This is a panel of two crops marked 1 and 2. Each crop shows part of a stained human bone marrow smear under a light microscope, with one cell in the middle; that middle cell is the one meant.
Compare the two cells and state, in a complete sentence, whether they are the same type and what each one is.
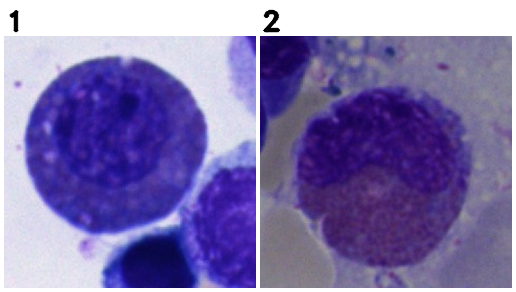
Yes, the cells placed at the centre of both crops are eosinophils.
